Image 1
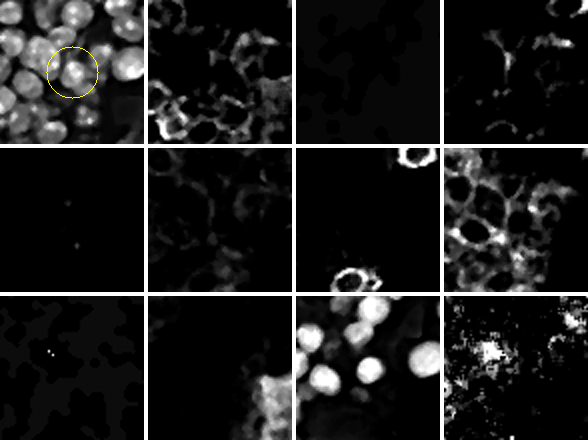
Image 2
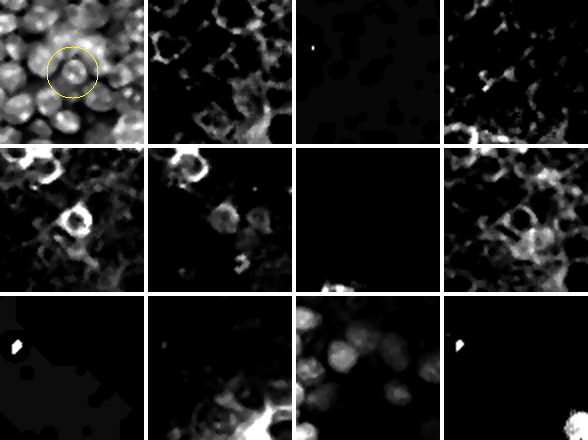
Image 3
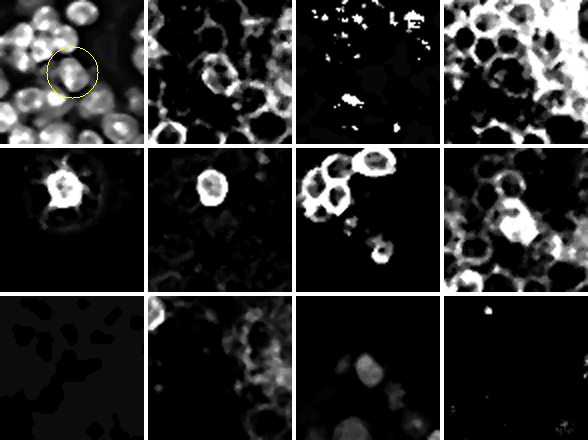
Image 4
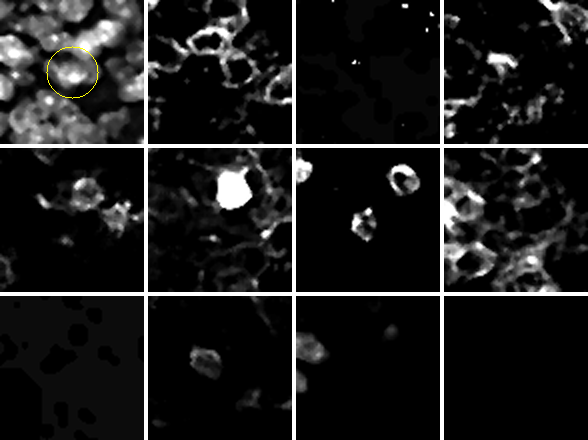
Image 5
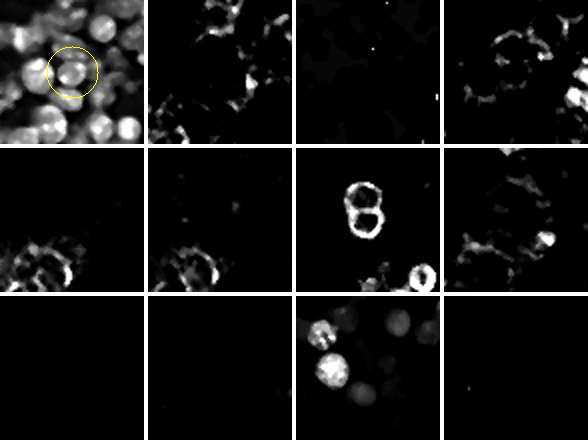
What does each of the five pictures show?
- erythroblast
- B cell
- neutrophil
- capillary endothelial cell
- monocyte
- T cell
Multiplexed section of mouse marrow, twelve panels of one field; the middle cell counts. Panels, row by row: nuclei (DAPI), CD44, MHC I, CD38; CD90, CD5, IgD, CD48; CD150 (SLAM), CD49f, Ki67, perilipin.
1: erythroblast
2: T cell
3: monocyte
4: capillary endothelial cell
5: B cell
